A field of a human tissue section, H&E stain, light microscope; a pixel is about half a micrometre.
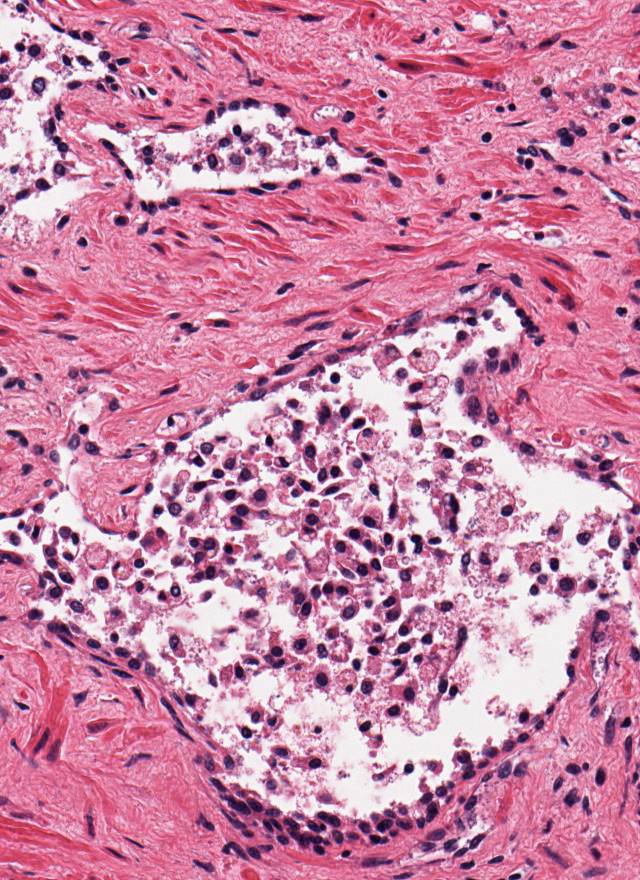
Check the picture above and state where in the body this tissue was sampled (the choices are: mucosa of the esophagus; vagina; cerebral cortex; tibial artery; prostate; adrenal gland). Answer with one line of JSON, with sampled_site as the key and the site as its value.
{"sampled_site": "prostate"}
